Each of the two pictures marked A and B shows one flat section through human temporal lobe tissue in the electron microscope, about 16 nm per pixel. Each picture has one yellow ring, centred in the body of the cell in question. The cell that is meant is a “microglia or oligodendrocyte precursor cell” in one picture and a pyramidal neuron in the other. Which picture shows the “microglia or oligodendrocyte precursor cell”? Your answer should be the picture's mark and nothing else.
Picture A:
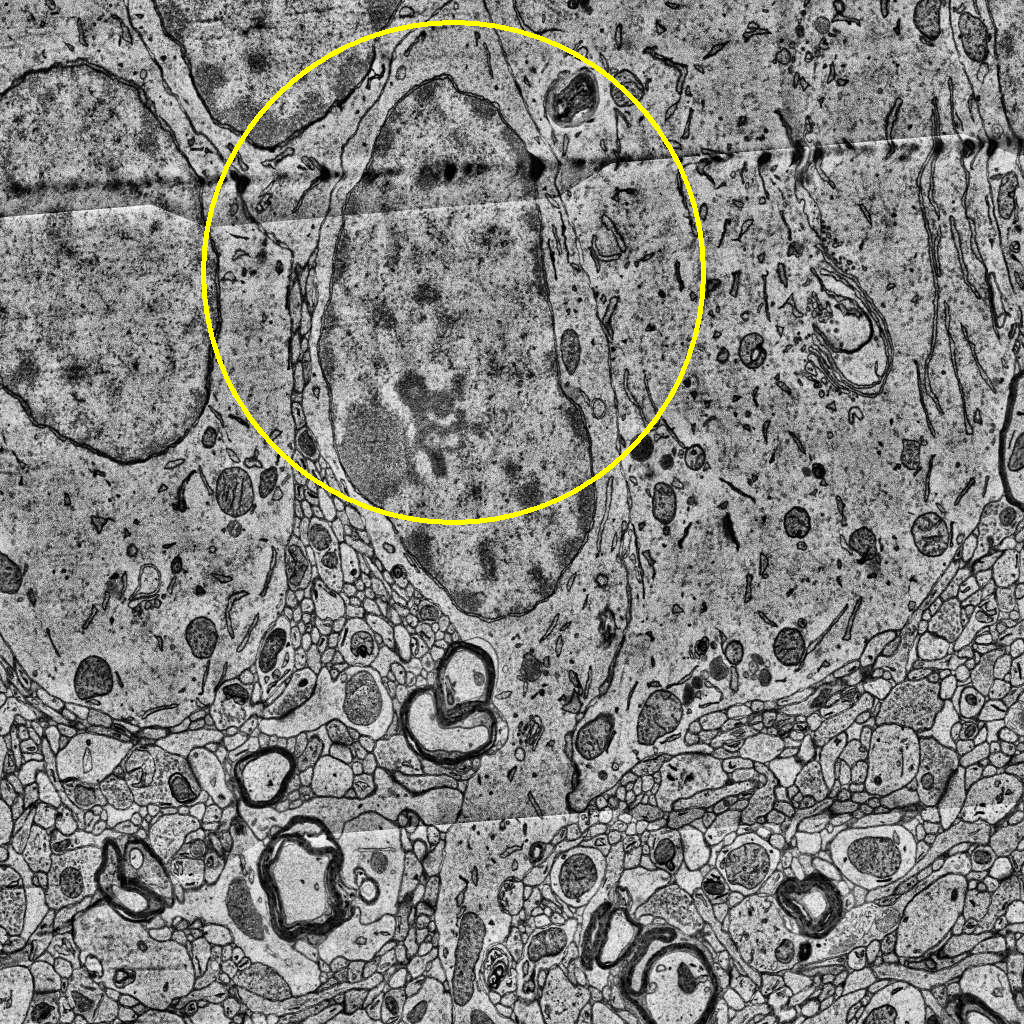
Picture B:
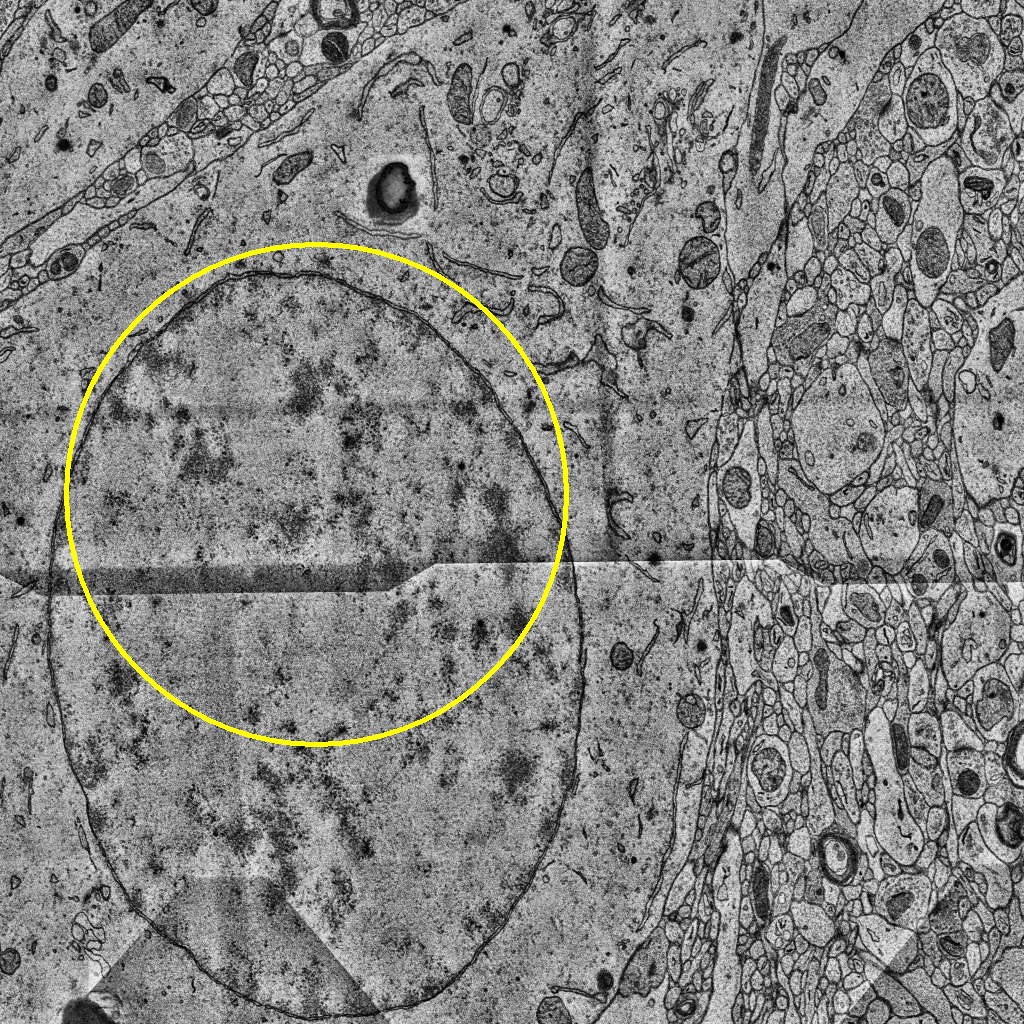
A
